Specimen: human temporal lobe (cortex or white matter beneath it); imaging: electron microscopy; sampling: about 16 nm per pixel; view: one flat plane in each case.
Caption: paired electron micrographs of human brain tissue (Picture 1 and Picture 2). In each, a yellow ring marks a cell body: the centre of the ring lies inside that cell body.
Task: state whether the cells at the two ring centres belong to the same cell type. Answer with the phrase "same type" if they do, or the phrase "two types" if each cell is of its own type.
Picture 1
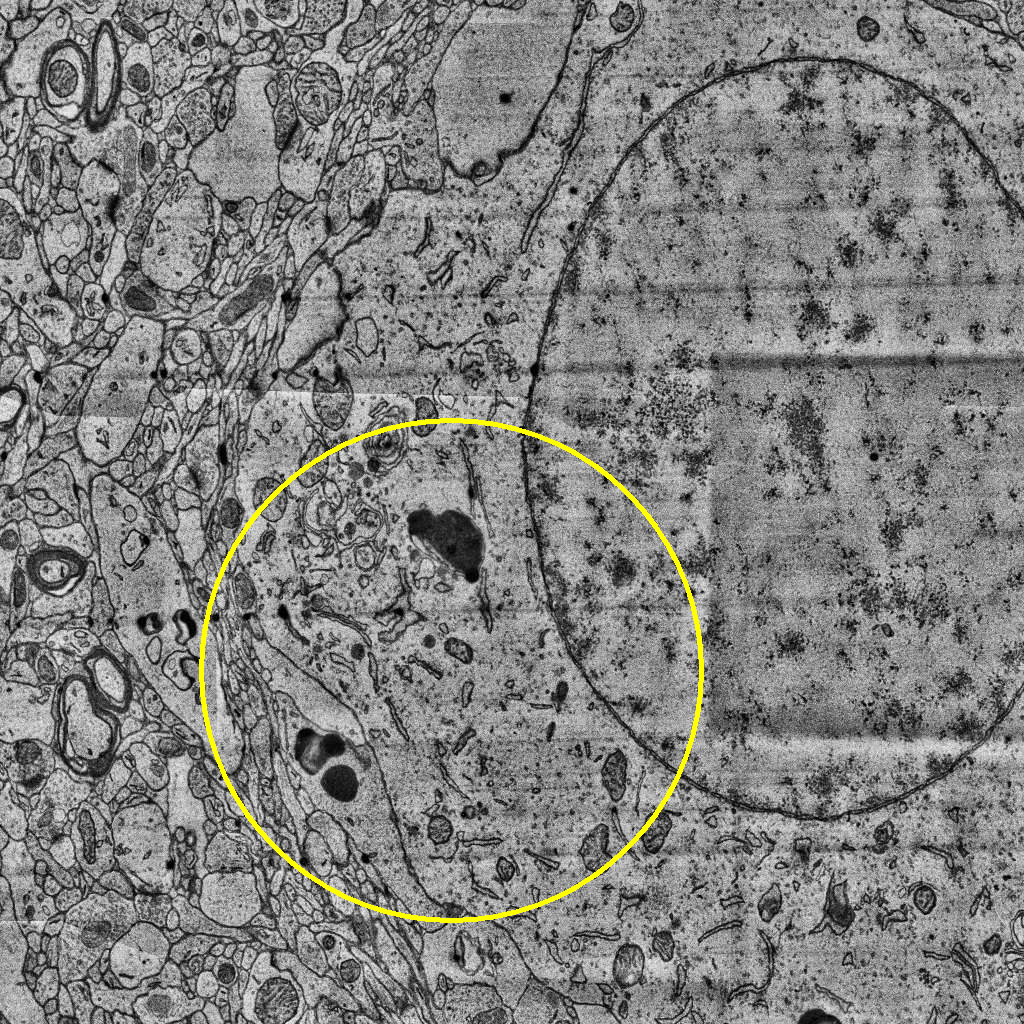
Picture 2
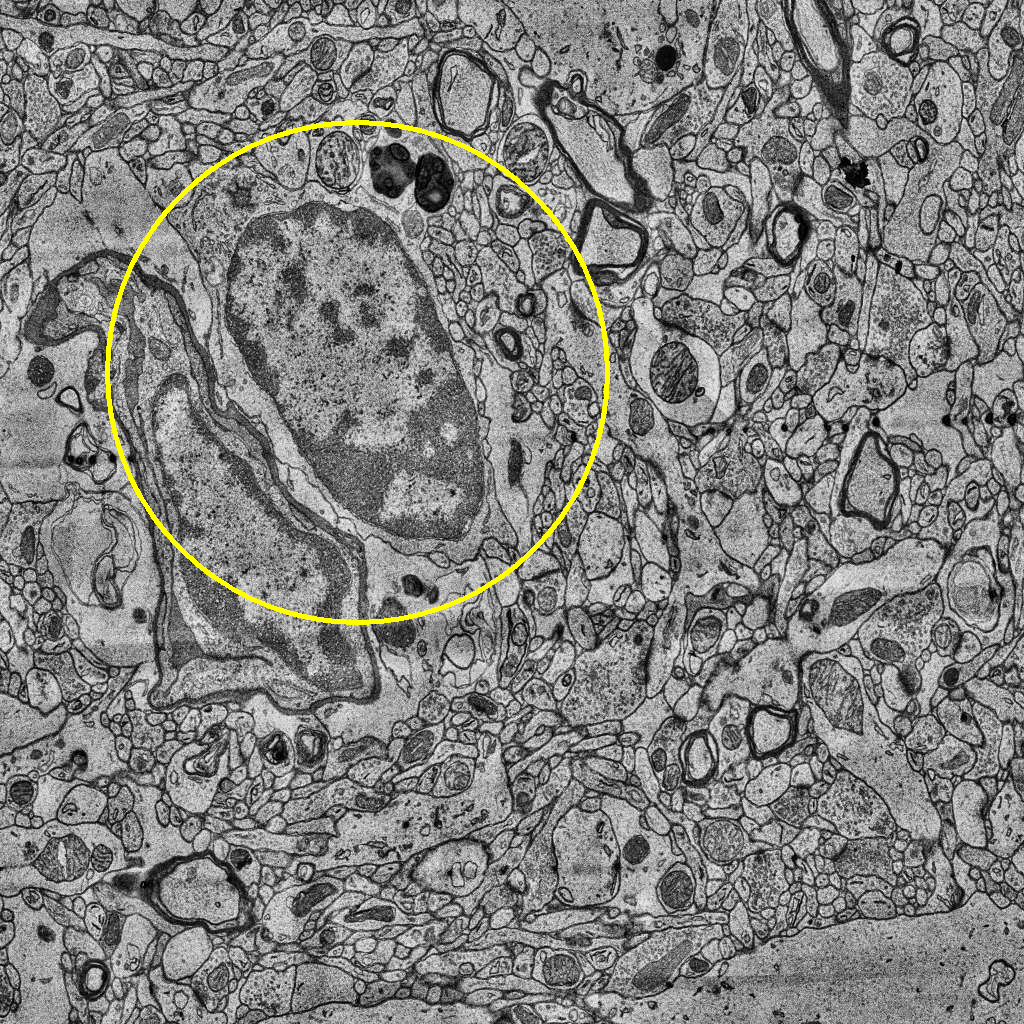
same type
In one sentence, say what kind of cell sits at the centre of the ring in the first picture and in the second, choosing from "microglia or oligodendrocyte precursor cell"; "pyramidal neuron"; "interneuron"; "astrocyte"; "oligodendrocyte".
The second cell is a microglial cell or oligodendrocyte precursor cell, just as the first is.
